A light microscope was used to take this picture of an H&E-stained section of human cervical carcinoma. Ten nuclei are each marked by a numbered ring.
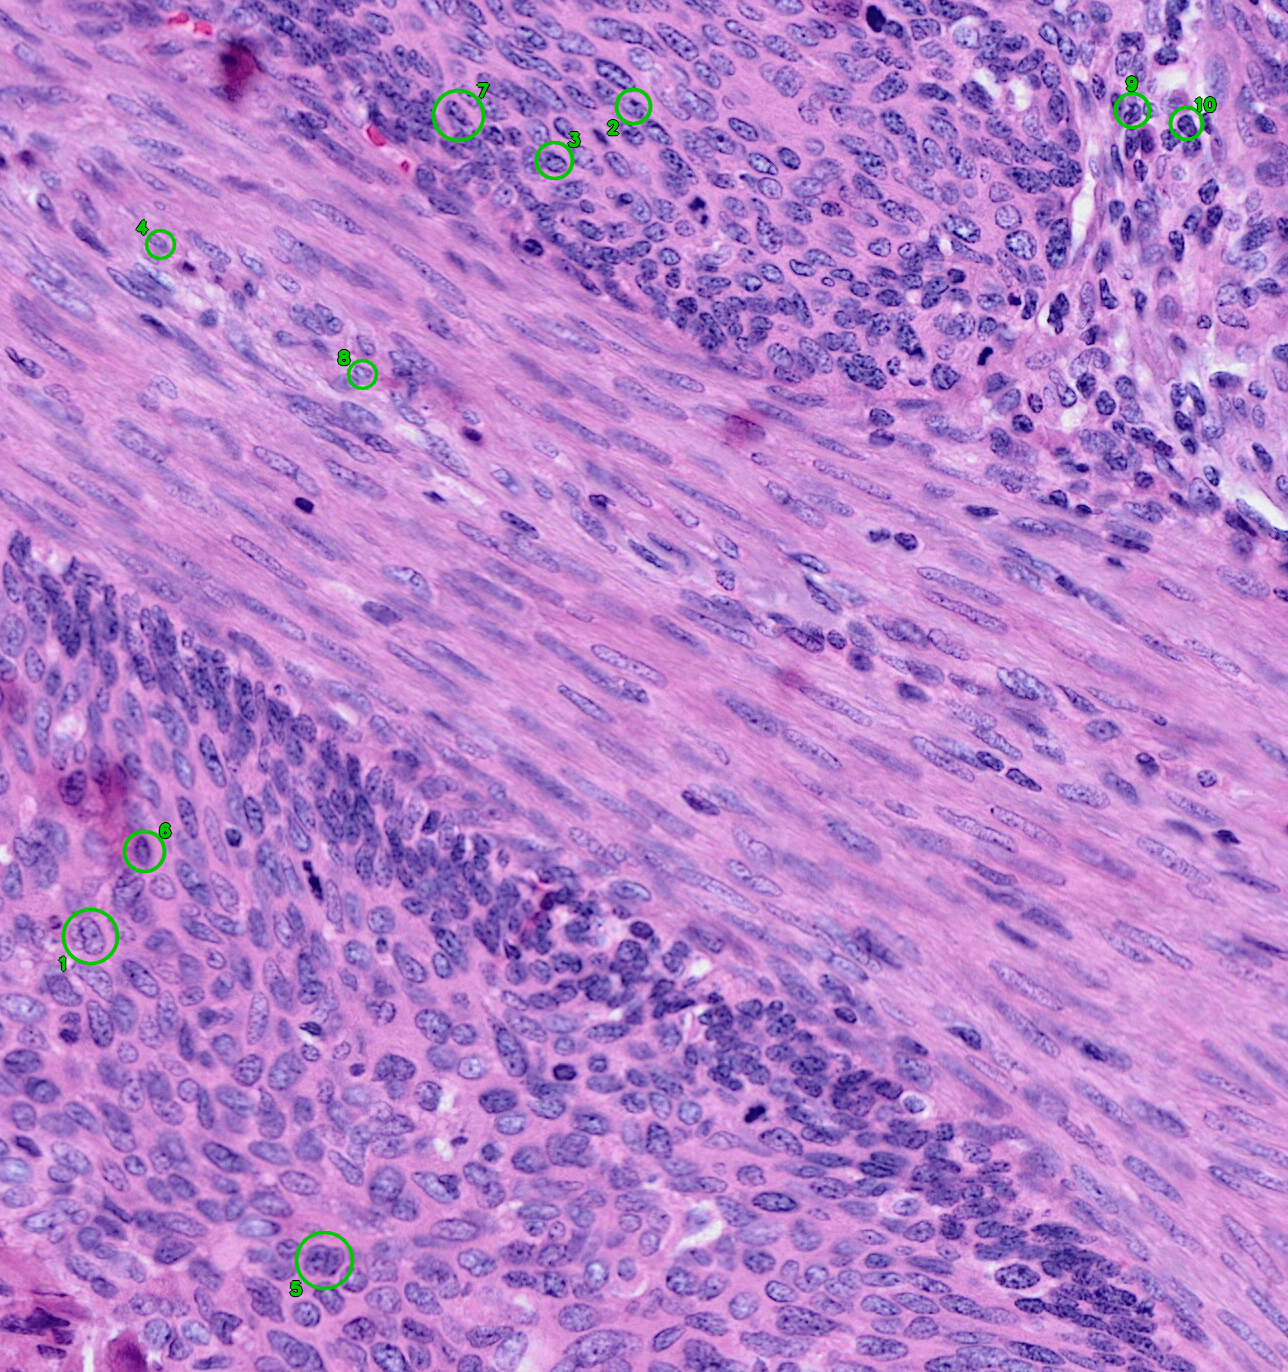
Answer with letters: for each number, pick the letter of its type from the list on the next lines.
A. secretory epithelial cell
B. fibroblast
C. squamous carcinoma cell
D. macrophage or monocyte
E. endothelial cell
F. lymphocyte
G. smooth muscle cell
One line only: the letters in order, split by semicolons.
C; C; C; G; C; C; C; G; F; F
